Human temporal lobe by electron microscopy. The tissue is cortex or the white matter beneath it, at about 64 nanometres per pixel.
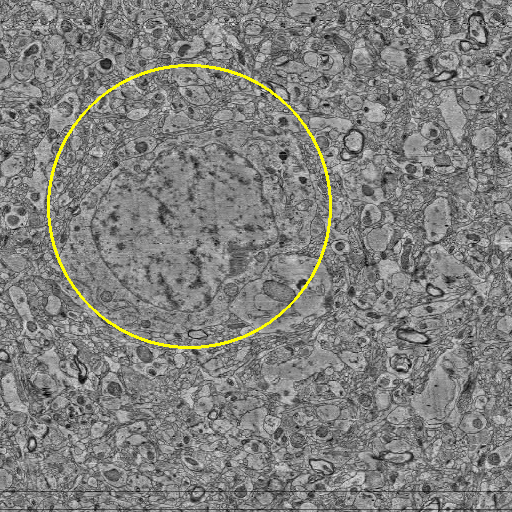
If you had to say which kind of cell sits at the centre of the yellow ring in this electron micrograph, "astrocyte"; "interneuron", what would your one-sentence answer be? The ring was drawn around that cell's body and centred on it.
The cell sitting at the centre of the ring is an interneuron.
